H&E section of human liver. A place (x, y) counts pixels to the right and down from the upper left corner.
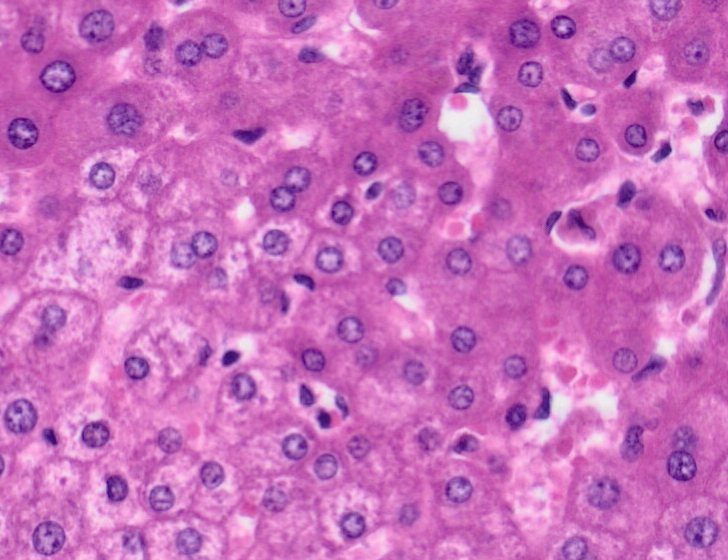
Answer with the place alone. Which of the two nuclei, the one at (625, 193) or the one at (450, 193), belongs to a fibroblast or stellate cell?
(625, 193)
